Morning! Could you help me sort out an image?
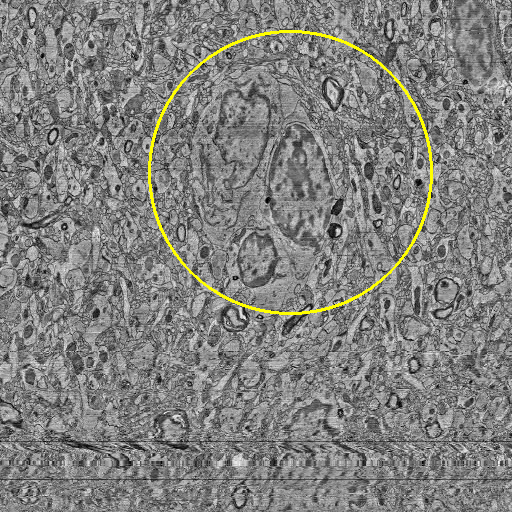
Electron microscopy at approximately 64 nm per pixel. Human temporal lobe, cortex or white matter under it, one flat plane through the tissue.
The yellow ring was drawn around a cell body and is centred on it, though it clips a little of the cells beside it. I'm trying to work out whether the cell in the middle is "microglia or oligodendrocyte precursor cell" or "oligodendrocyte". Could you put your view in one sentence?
The ringed cell body is that of a microglial cell or oligodendrocyte precursor cell.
